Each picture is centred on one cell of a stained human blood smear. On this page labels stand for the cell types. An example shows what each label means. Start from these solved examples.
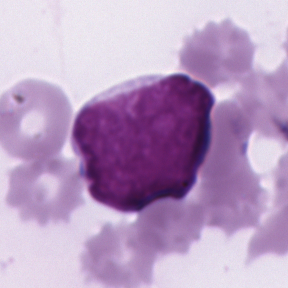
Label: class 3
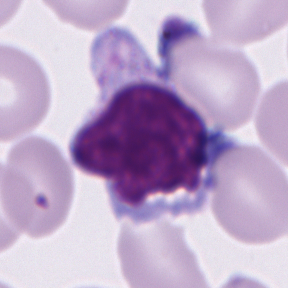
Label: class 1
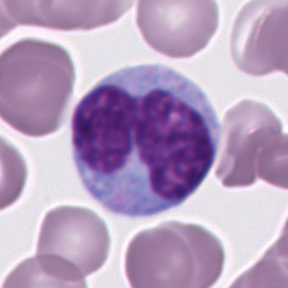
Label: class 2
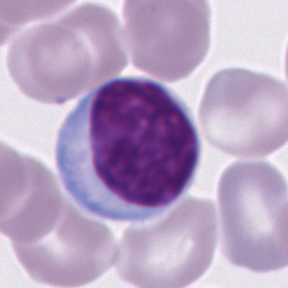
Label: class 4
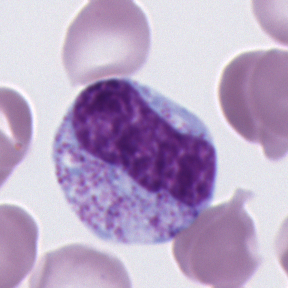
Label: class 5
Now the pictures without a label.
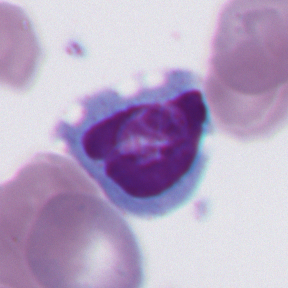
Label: class 4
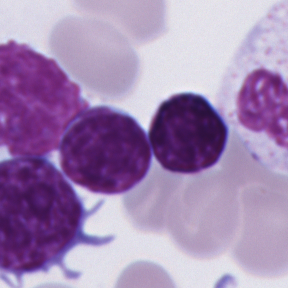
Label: class 3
